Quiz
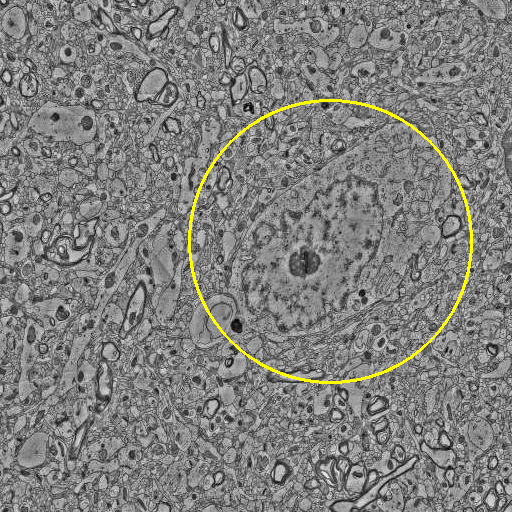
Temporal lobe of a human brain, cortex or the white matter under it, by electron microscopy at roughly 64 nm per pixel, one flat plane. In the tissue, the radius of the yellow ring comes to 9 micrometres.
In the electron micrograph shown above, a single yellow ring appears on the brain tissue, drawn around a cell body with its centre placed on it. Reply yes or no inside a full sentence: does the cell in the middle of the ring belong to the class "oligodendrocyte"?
No, the cell at the centre of the ring in the picture belongs to a different class.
